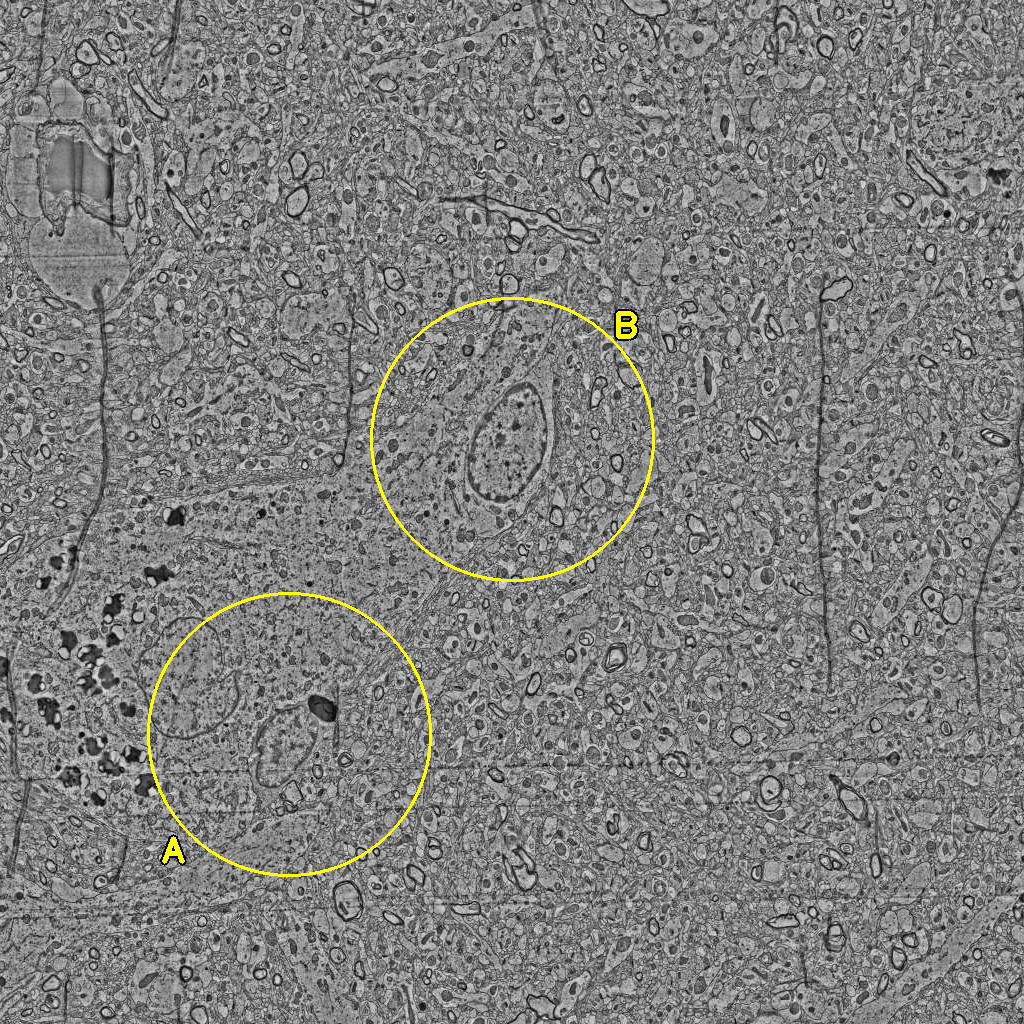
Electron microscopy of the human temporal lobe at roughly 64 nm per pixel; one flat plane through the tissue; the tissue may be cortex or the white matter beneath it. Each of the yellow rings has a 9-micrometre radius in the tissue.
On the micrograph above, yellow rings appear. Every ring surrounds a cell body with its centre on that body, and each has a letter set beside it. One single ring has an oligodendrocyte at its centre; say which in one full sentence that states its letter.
The answer is ring A, whose centre lies on the cell asked for.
